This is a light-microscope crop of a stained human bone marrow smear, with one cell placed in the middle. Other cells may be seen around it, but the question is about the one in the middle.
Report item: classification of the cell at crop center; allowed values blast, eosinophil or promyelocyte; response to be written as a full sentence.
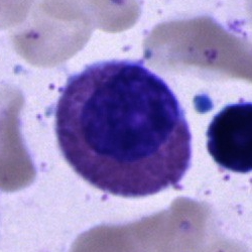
At the middle of the frame sits an eosinophil.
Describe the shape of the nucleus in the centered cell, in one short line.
Please observe that the nucleus consists of one compact round, oval or kidney-shaped mass.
